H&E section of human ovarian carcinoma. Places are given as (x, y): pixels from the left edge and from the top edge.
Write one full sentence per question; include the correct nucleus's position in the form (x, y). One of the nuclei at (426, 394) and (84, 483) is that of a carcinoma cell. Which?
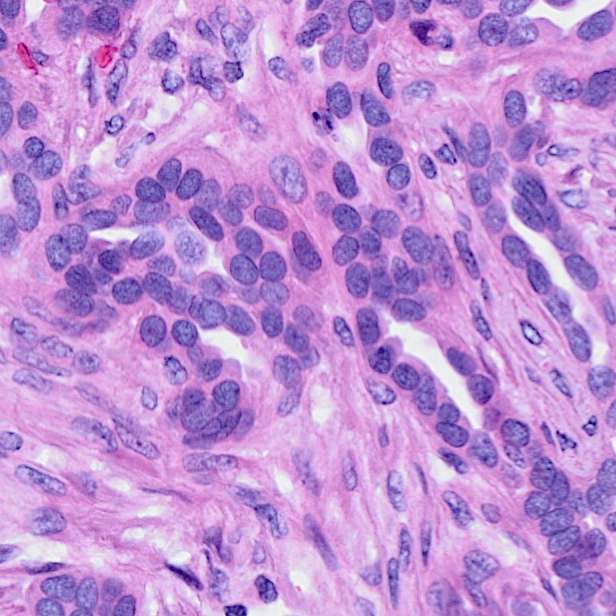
Of the pair, the nucleus positioned at (426, 394) is that of a carcinoma cell.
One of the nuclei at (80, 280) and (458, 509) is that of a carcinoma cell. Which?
The nucleus that sits at (80, 280) is the nucleus of a carcinoma cell.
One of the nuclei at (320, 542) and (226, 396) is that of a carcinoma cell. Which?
The one nucleus of the two that belongs to a carcinoma cell is at (226, 396).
